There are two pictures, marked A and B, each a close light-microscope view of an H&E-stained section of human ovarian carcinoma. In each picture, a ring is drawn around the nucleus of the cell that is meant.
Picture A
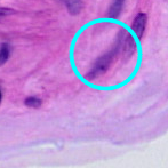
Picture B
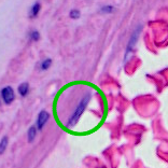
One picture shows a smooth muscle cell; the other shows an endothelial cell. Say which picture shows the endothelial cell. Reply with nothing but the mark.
B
